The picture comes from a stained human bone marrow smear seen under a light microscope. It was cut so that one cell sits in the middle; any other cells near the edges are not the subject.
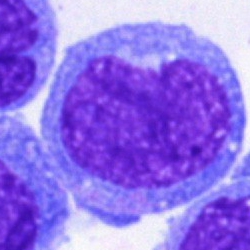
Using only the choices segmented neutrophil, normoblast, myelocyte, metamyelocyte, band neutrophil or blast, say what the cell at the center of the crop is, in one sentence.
In the central position of this crop, the cell is a blast.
